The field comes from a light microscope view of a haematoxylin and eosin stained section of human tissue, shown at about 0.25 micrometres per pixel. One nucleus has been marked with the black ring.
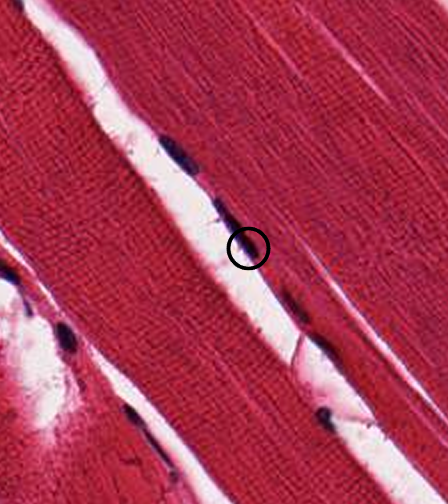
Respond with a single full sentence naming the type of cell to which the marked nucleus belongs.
In this picture, the marked nucleus belongs to a skeletal muscle fibre.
